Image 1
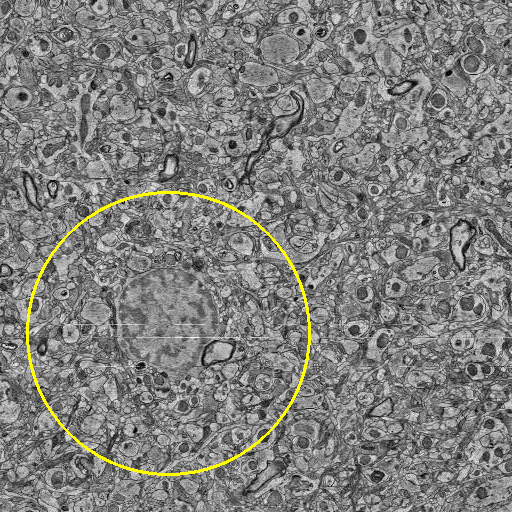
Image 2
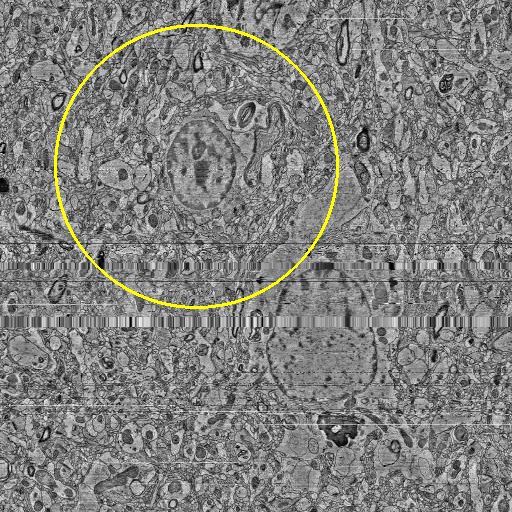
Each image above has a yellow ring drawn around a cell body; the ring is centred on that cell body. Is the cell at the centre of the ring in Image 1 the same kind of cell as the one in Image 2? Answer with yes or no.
yes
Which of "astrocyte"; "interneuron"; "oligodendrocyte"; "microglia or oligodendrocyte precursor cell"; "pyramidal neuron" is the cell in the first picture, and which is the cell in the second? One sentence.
Both rings mark an oligodendrocyte, one in each picture.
